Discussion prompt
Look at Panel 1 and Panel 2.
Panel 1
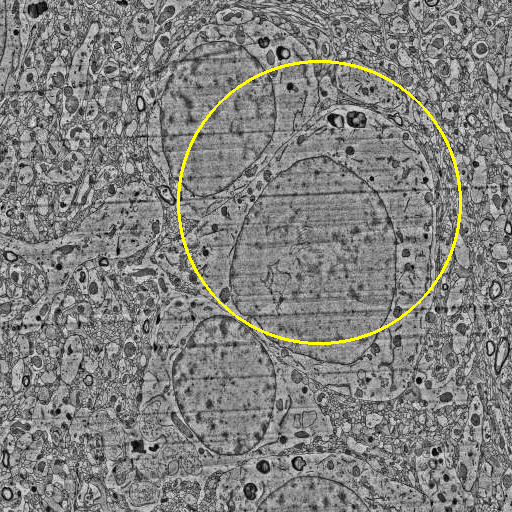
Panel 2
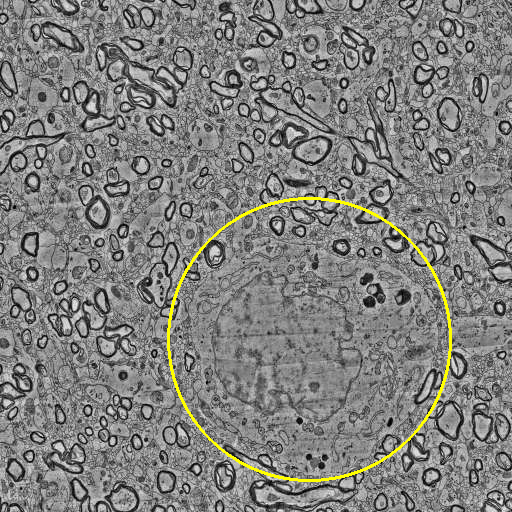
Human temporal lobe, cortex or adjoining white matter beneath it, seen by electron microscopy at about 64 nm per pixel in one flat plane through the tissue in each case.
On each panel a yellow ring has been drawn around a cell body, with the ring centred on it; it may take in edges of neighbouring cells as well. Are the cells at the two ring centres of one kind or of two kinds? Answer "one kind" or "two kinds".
two kinds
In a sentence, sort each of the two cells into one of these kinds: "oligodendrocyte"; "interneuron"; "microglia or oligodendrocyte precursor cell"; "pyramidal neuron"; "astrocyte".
The first of the two cells is a pyramidal neuron, and the second is an interneuron.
